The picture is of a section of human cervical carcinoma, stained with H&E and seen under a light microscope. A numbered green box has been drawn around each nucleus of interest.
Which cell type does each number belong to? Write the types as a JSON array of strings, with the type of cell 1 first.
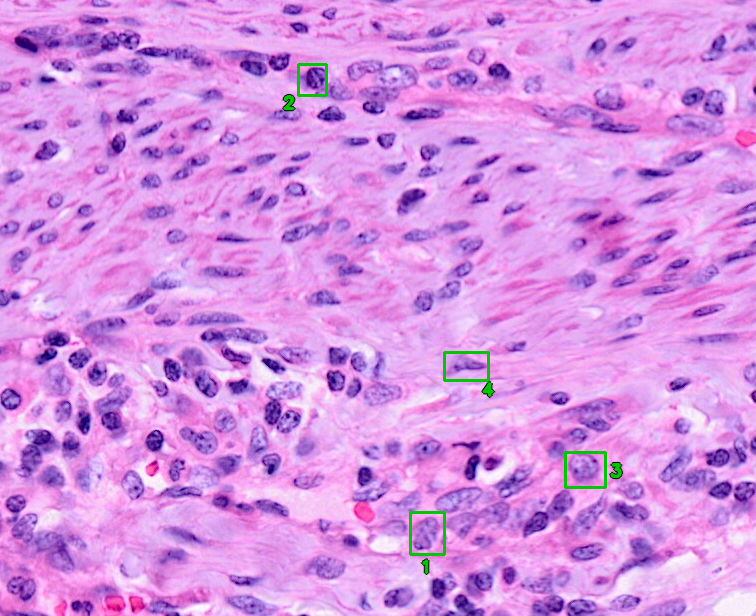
["endothelial cell", "lymphocyte", "endothelial cell", "fibroblast"]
